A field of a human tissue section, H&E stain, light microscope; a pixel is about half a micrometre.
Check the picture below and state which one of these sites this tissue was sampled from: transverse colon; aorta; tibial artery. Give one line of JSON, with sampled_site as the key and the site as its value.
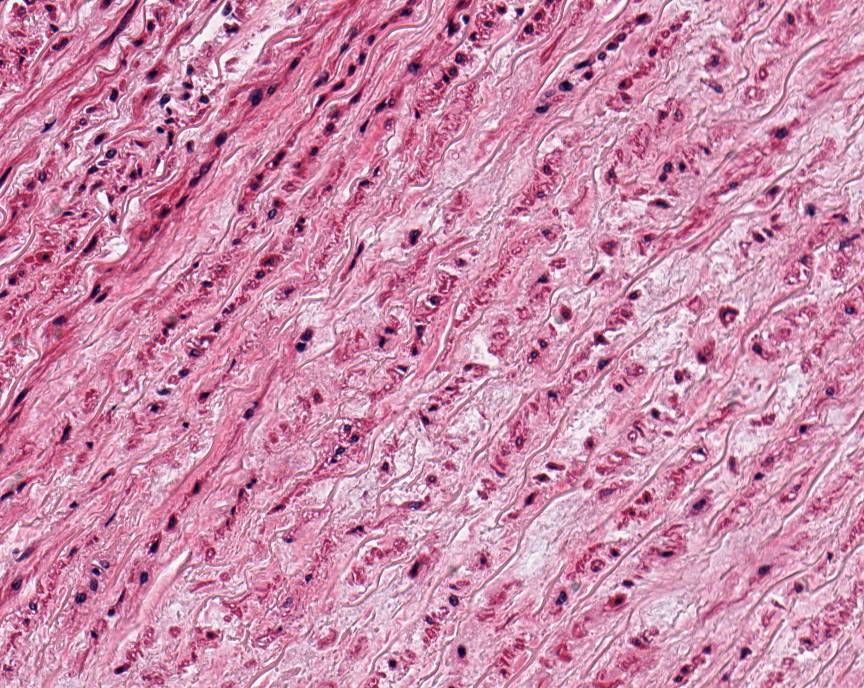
{"sampled_site": "aorta"}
